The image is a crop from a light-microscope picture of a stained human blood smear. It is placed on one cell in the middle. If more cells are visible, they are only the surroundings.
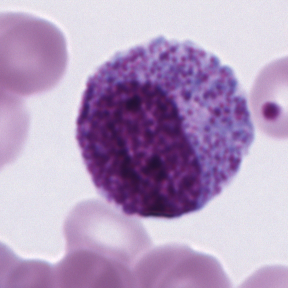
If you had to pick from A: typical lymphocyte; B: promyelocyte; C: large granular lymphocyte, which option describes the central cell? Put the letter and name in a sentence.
In the middle of the crop is a promyelocyte; option B is therefore correct.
